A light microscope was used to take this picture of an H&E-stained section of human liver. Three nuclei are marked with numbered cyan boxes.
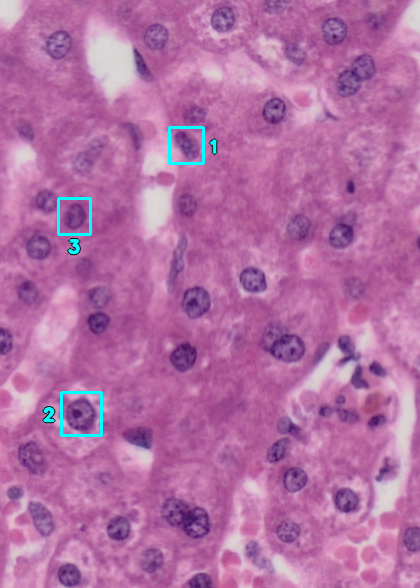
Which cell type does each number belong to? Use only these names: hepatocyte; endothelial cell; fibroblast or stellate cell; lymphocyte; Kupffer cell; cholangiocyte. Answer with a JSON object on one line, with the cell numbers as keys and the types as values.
{"1": "fibroblast or stellate cell", "2": "hepatocyte", "3": "hepatocyte"}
